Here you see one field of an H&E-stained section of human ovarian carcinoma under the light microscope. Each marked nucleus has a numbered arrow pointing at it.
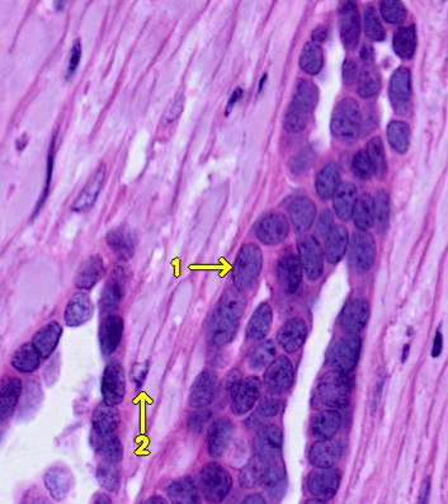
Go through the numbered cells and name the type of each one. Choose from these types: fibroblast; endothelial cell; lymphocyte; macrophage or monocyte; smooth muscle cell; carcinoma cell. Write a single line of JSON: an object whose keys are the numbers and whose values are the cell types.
{"1": "carcinoma cell", "2": "fibroblast"}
